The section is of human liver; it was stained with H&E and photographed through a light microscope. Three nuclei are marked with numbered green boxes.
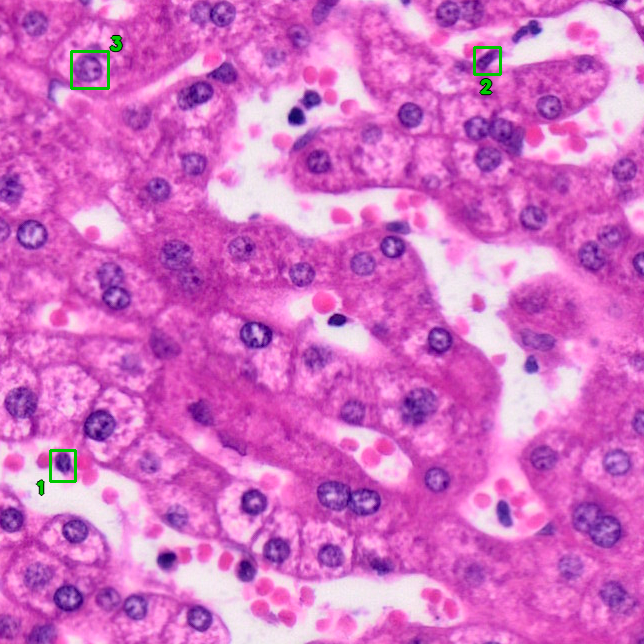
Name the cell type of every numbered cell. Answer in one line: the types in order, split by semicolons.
lymphocyte; Kupffer cell; hepatocyte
